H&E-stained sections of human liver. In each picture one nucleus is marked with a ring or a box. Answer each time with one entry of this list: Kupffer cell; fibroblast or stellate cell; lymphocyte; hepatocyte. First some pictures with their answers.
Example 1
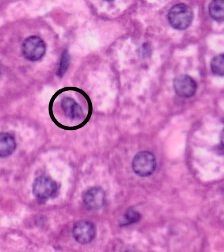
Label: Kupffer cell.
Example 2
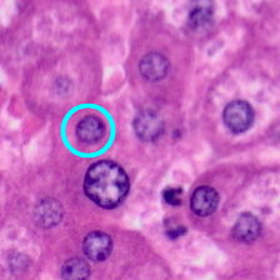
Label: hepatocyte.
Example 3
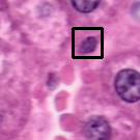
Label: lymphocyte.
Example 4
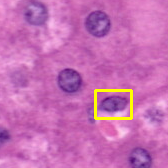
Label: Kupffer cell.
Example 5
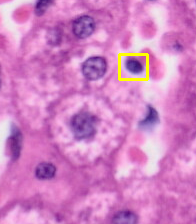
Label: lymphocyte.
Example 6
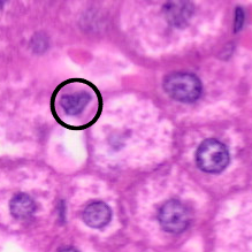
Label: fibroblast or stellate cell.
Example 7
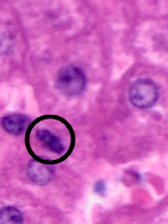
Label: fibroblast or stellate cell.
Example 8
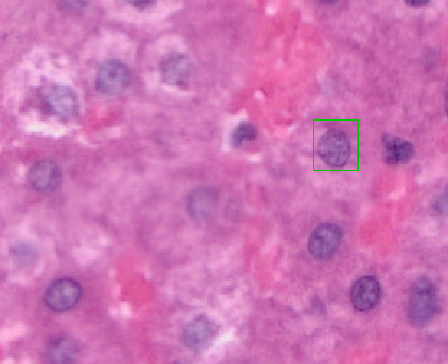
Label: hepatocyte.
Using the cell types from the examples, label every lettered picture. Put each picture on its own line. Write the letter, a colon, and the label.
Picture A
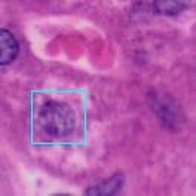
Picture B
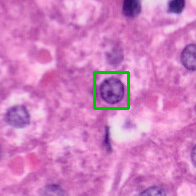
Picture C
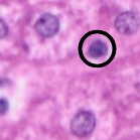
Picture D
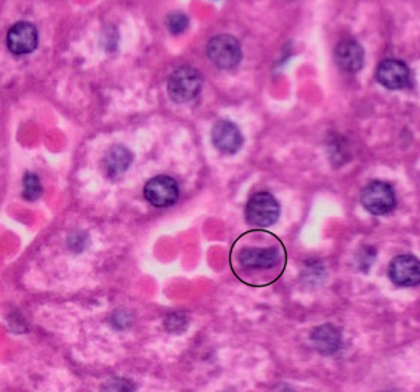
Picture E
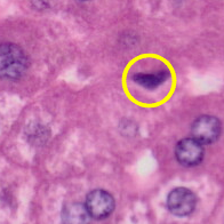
A: hepatocyte.
B: hepatocyte.
C: lymphocyte.
D: fibroblast or stellate cell.
E: fibroblast or stellate cell.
